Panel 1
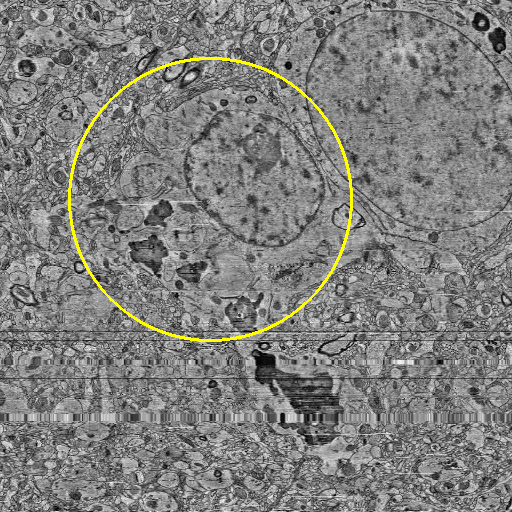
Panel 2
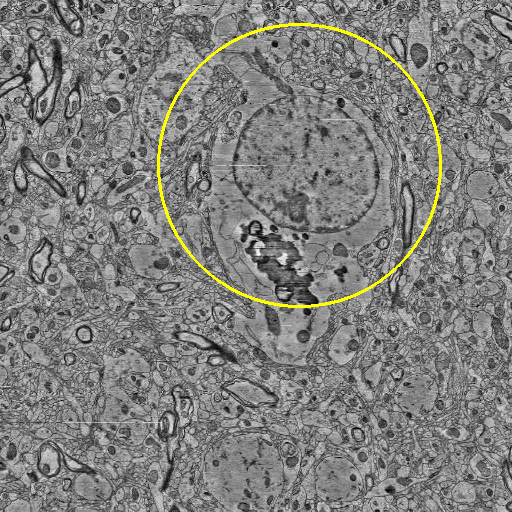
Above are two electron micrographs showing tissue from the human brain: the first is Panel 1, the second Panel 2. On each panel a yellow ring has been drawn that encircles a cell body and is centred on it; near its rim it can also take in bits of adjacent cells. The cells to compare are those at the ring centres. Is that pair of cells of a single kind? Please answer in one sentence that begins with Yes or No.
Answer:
Yes, the ring-centred cells of Panel 1 and Panel 2 belong to one kind.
